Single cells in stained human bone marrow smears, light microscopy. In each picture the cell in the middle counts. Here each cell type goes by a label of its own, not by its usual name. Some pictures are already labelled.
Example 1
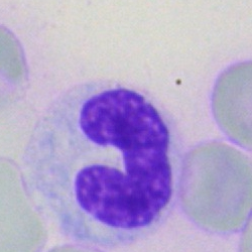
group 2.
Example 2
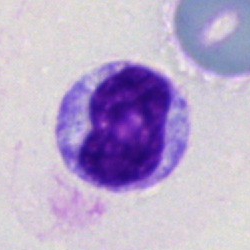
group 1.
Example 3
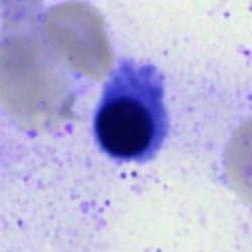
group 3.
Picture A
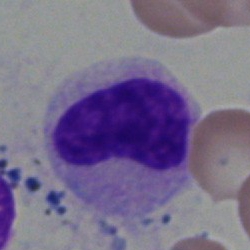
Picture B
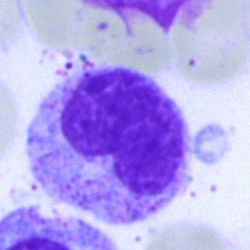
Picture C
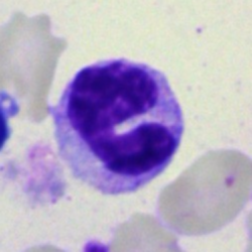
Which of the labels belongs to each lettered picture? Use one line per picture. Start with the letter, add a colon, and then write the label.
A: group 1.
B: group 1.
C: group 2.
